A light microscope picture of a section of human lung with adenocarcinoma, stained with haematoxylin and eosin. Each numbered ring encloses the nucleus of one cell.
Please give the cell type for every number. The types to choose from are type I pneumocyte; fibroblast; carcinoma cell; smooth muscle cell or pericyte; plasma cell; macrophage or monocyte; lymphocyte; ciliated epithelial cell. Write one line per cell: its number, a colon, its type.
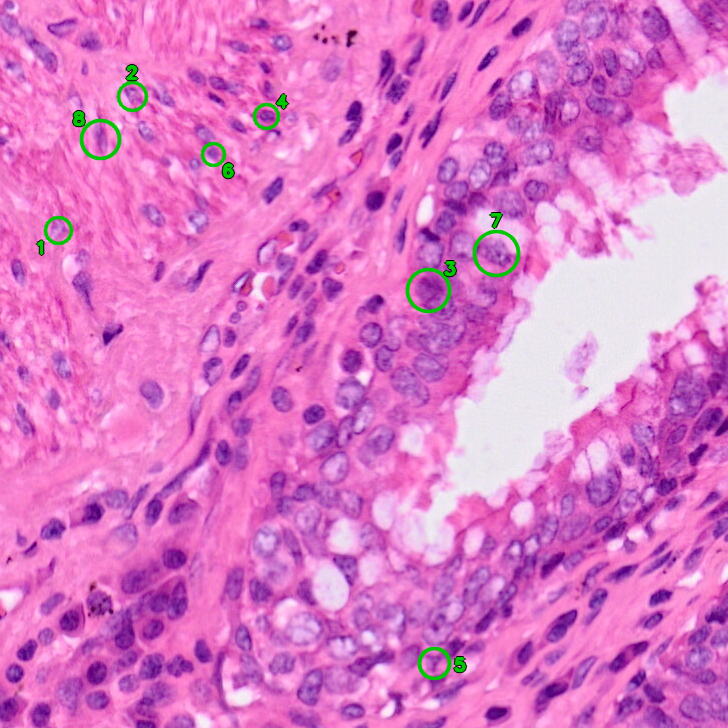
1: smooth muscle cell or pericyte
2: smooth muscle cell or pericyte
3: ciliated epithelial cell
4: smooth muscle cell or pericyte
5: ciliated epithelial cell
6: smooth muscle cell or pericyte
7: ciliated epithelial cell
8: smooth muscle cell or pericyte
